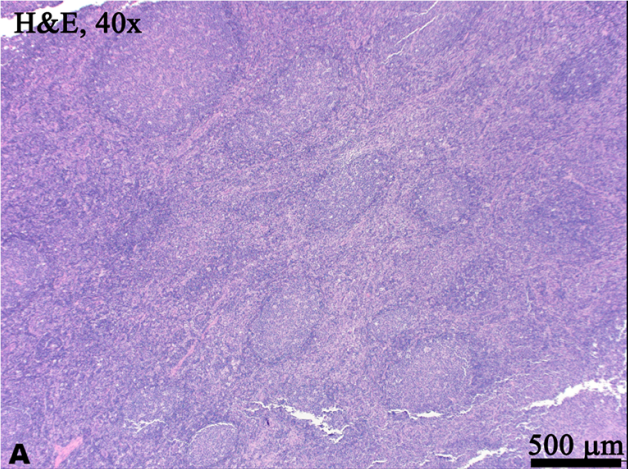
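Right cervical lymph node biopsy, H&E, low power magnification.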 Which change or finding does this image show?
reactive follicular hyperplasia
